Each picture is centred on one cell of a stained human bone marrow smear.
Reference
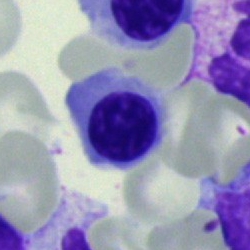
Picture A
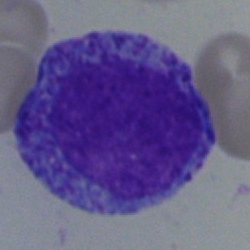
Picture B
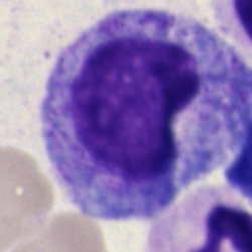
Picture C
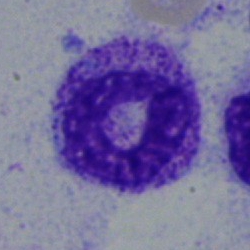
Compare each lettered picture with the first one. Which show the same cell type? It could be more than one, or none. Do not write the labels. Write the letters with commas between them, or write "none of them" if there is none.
none of them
